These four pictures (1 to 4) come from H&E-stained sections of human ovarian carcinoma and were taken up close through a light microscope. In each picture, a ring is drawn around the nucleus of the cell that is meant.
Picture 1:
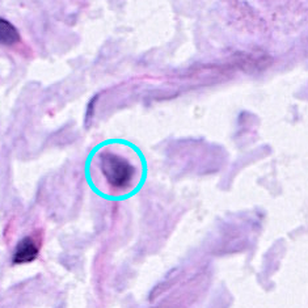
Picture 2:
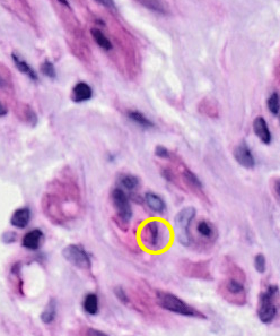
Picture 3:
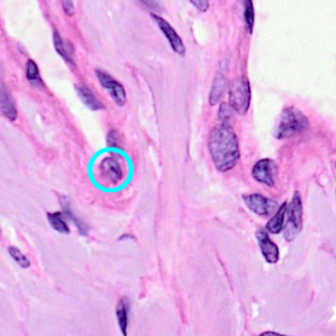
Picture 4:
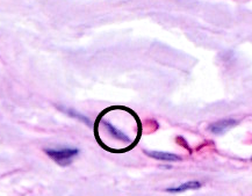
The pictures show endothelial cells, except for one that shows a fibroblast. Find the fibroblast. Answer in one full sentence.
The fibroblast is the one in picture 1.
